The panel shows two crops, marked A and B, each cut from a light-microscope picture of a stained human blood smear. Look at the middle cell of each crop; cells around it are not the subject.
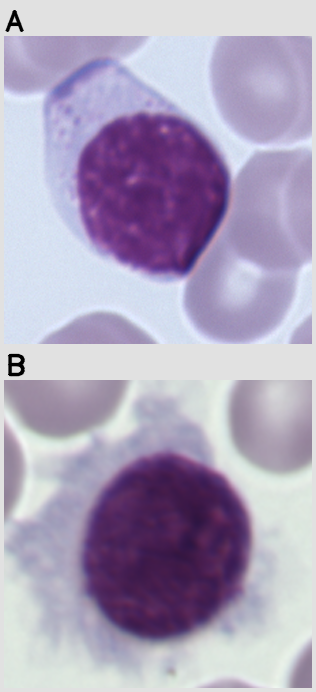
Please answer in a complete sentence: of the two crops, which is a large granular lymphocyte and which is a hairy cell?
While crop A is a large granular lymphocyte, crop B is a hairy cell.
